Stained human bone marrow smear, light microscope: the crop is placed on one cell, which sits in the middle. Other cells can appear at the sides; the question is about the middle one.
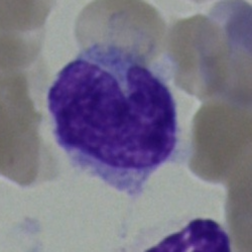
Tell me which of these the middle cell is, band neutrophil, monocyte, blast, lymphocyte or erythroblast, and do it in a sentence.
As for the central cell, it is a monocyte.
